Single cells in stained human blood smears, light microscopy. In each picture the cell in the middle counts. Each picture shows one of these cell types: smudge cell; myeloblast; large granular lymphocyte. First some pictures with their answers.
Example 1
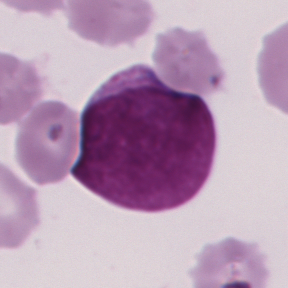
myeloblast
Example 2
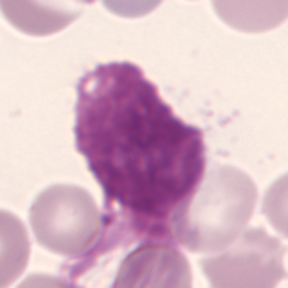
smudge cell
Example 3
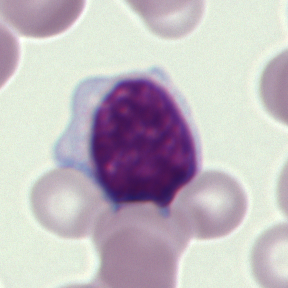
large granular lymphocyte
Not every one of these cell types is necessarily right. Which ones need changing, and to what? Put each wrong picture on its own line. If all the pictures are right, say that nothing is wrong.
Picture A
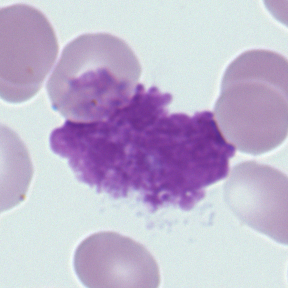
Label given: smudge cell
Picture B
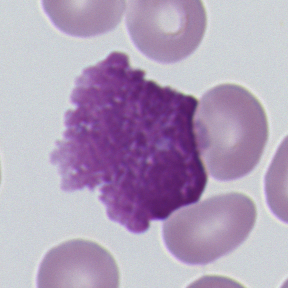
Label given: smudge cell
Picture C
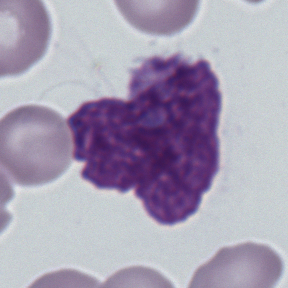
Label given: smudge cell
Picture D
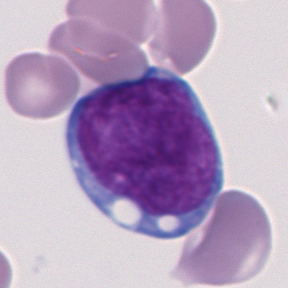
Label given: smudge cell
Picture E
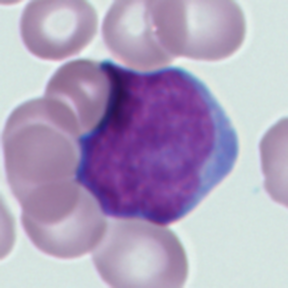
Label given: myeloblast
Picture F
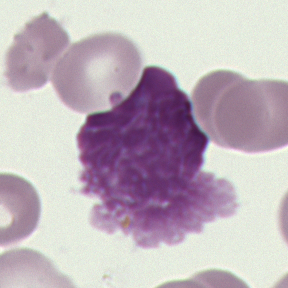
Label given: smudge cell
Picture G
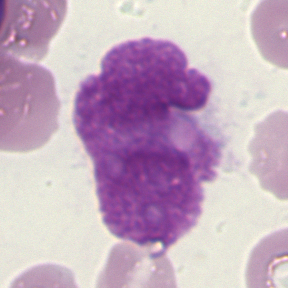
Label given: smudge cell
D should be myeloblast, not smudge cell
